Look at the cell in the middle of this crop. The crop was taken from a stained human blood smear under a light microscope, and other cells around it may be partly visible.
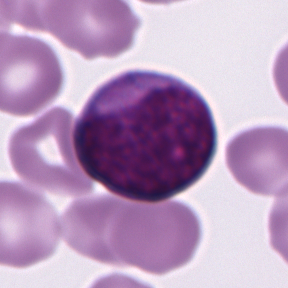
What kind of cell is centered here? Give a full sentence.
The cell in the middle of this crop is a myeloblast.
